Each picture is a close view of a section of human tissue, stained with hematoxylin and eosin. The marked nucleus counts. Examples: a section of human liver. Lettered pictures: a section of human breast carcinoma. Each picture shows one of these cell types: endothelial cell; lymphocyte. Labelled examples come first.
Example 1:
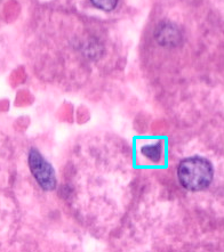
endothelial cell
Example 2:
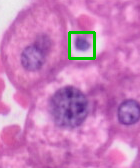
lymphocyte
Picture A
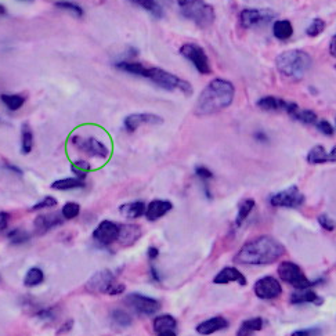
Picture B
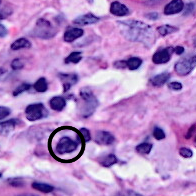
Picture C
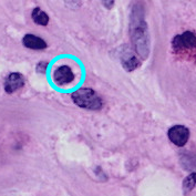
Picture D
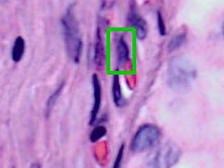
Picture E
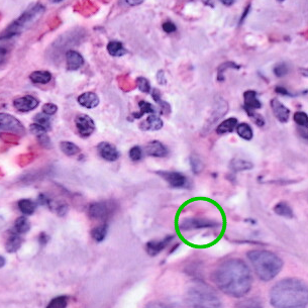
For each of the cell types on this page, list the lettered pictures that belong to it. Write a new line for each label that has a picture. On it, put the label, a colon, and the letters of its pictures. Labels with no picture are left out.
endothelial cell: D, E
lymphocyte: A, B, C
